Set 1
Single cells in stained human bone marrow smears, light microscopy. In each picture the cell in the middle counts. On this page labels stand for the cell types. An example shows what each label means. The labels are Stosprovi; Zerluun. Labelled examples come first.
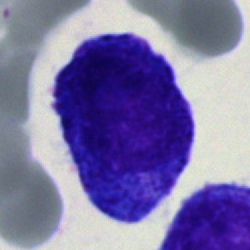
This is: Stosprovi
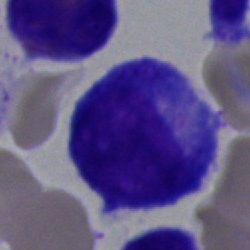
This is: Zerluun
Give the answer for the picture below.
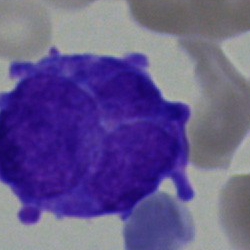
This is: Stosprovi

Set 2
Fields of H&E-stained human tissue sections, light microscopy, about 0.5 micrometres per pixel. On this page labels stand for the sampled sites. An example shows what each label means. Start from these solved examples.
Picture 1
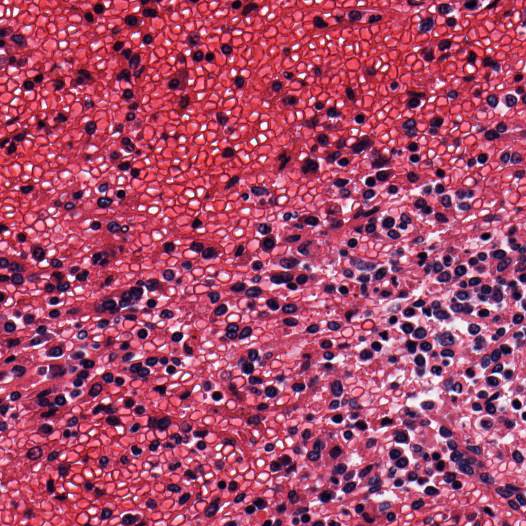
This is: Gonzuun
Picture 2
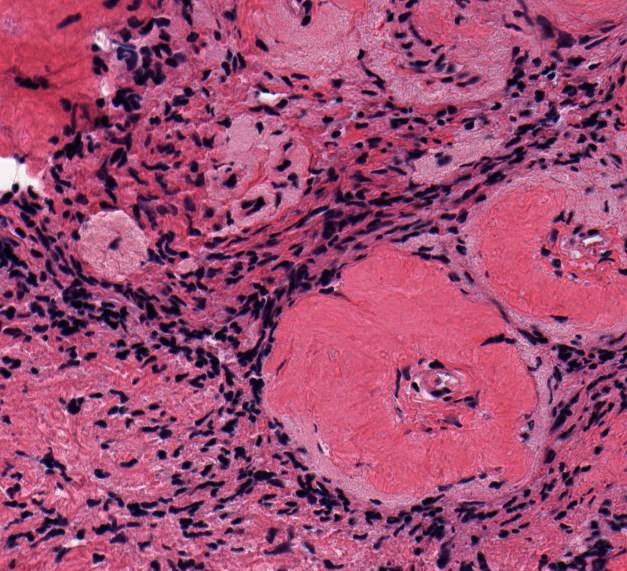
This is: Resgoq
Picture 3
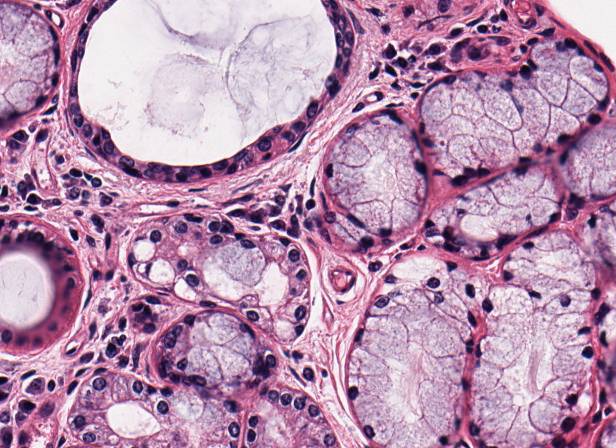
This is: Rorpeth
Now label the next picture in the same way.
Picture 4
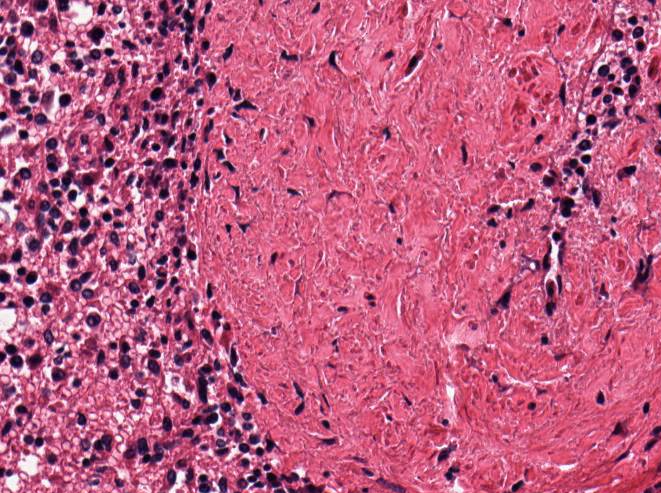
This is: Gonzuun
